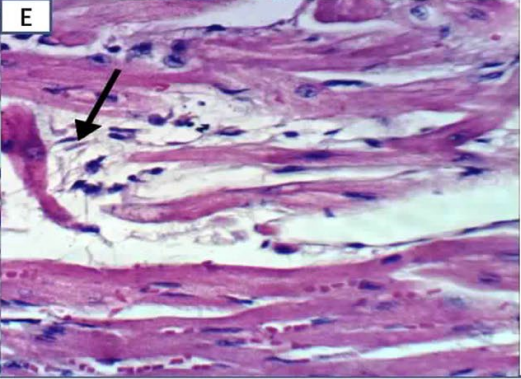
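This is heart muscle in which the bundles of cardiomyocytes are pushed apart by pale, watery spaces, the look of intermuscular edema. The muscle fibres are long, pink and ribbon-like, with elongated dark nuclei along them. Between the bundles lie wide clear spaces crossed by fine, faint strands and a few scattered dark nuclei. Some fibres appear separated and frayed at their ends where they border these spaces. Elsewhere the fibres still run in parallel rows.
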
